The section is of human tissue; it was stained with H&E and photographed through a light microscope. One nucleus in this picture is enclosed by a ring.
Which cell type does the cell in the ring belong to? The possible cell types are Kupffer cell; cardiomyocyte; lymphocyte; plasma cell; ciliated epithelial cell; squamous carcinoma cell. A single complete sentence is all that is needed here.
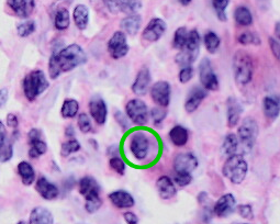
As classified here, the cell in the ring is a lymphocyte.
